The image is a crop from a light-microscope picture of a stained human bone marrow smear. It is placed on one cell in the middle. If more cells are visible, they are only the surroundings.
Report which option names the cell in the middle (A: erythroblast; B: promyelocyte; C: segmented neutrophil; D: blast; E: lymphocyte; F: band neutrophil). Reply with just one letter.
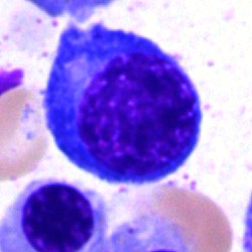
A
